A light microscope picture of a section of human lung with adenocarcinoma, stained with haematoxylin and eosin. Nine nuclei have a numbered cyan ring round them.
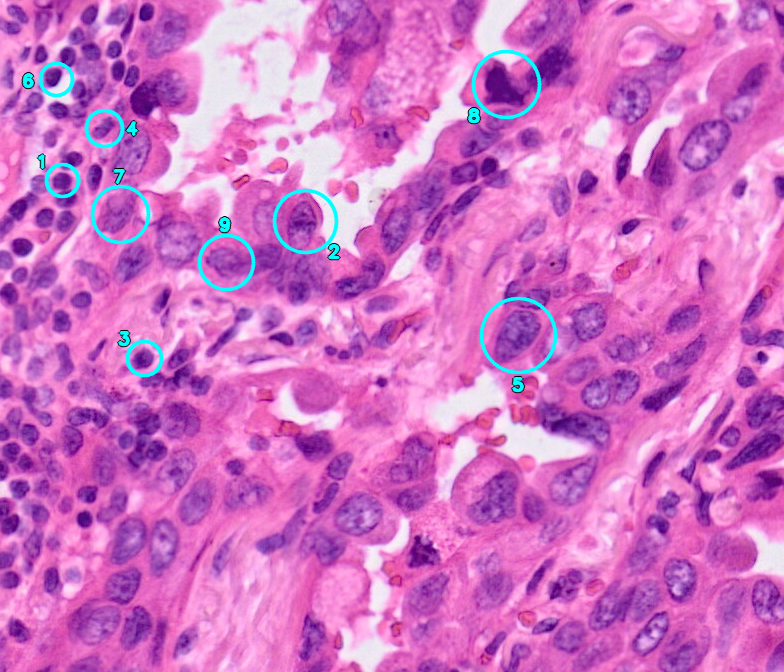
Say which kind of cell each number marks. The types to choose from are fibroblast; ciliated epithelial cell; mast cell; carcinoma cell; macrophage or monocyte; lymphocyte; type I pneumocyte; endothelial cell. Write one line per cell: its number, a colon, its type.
1: lymphocyte
2: carcinoma cell
3: lymphocyte
4: lymphocyte
5: carcinoma cell
6: lymphocyte
7: carcinoma cell
8: carcinoma cell
9: carcinoma cell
